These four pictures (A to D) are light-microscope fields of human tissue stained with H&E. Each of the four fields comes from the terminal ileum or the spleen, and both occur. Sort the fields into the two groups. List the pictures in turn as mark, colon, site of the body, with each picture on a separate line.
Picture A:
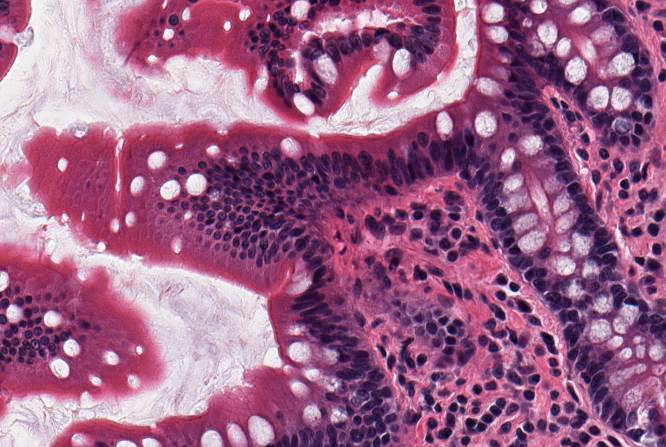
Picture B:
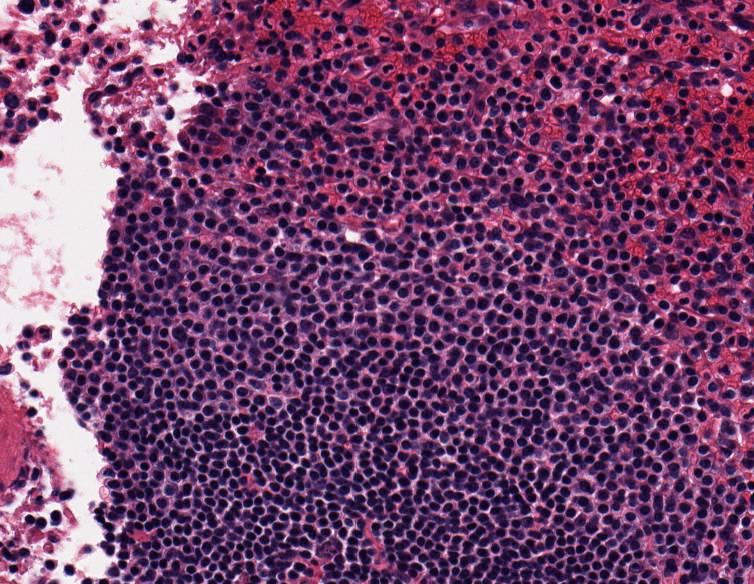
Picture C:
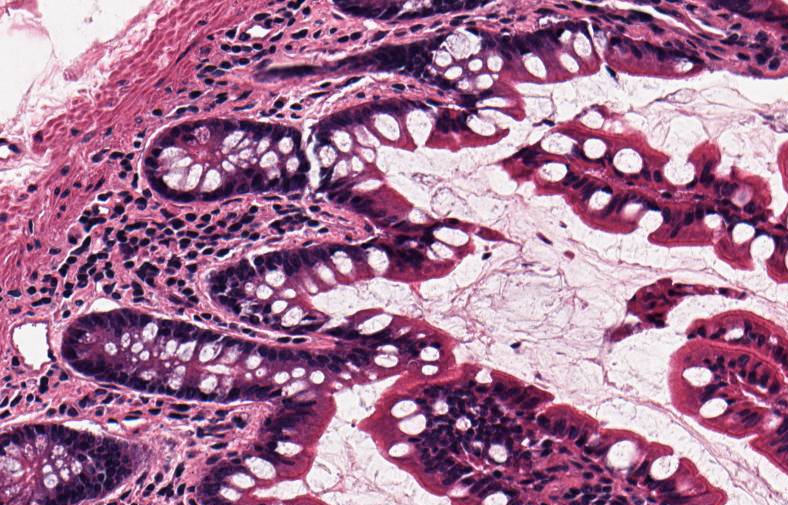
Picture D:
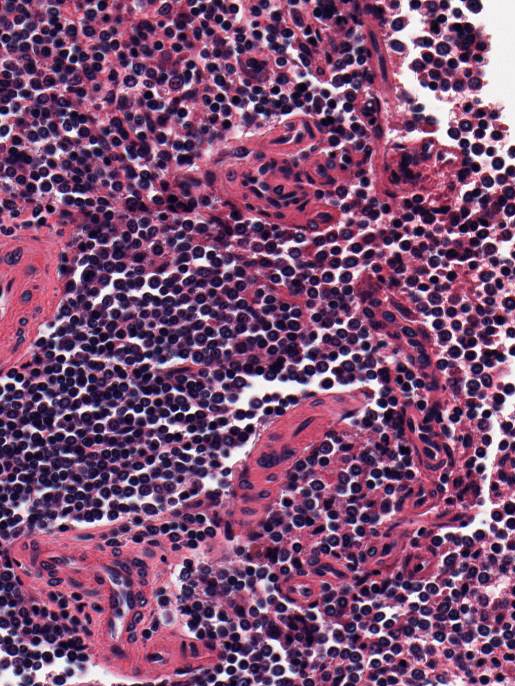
A: terminal ileum
B: spleen
C: terminal ileum
D: spleen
